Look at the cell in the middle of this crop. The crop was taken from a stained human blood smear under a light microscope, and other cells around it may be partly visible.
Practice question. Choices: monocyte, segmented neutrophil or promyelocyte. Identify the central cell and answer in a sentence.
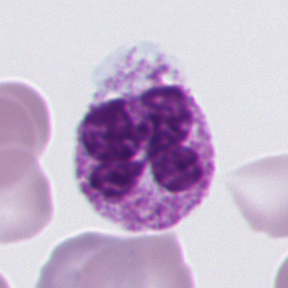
The middle position in this crop is taken by a segmented neutrophil.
